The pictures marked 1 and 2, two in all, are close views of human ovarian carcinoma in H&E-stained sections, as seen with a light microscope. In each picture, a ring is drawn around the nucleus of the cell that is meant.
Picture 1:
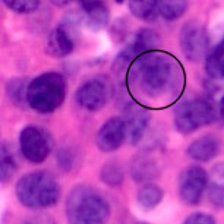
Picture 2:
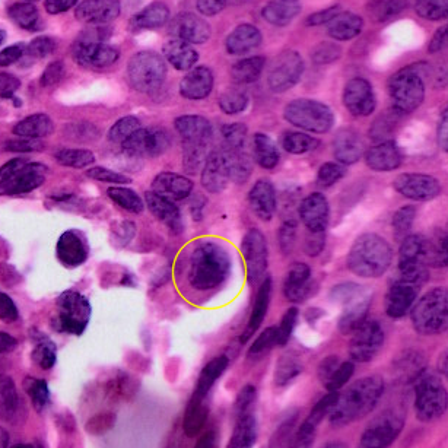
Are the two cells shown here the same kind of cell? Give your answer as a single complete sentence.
Yes, both cells are carcinoma cells.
